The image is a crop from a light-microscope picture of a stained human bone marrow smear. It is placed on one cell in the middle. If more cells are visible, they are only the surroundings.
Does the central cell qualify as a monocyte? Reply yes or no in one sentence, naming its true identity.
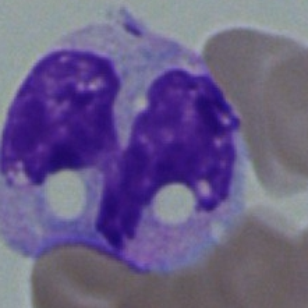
Yes, the middle cell here is a monocyte.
